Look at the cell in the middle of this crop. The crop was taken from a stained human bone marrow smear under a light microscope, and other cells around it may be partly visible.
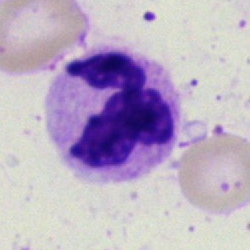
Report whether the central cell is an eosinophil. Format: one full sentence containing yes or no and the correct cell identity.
No, the central cell is reported as a segmented neutrophil rather than as an eosinophil.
